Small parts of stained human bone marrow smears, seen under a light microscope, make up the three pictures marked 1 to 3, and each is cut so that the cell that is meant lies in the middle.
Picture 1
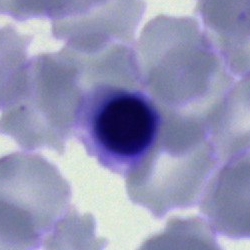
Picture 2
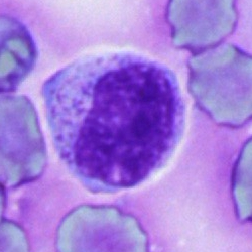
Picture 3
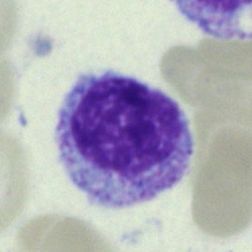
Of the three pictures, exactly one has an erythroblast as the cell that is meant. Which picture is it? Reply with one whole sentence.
It is picture 1 that shows the erythroblast.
